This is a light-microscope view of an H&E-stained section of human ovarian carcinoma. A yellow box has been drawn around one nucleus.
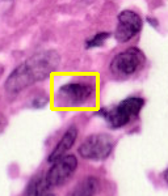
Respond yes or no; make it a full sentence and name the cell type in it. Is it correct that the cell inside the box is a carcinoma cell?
Yes, a carcinoma cell is what the cell inside the box is in this section.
